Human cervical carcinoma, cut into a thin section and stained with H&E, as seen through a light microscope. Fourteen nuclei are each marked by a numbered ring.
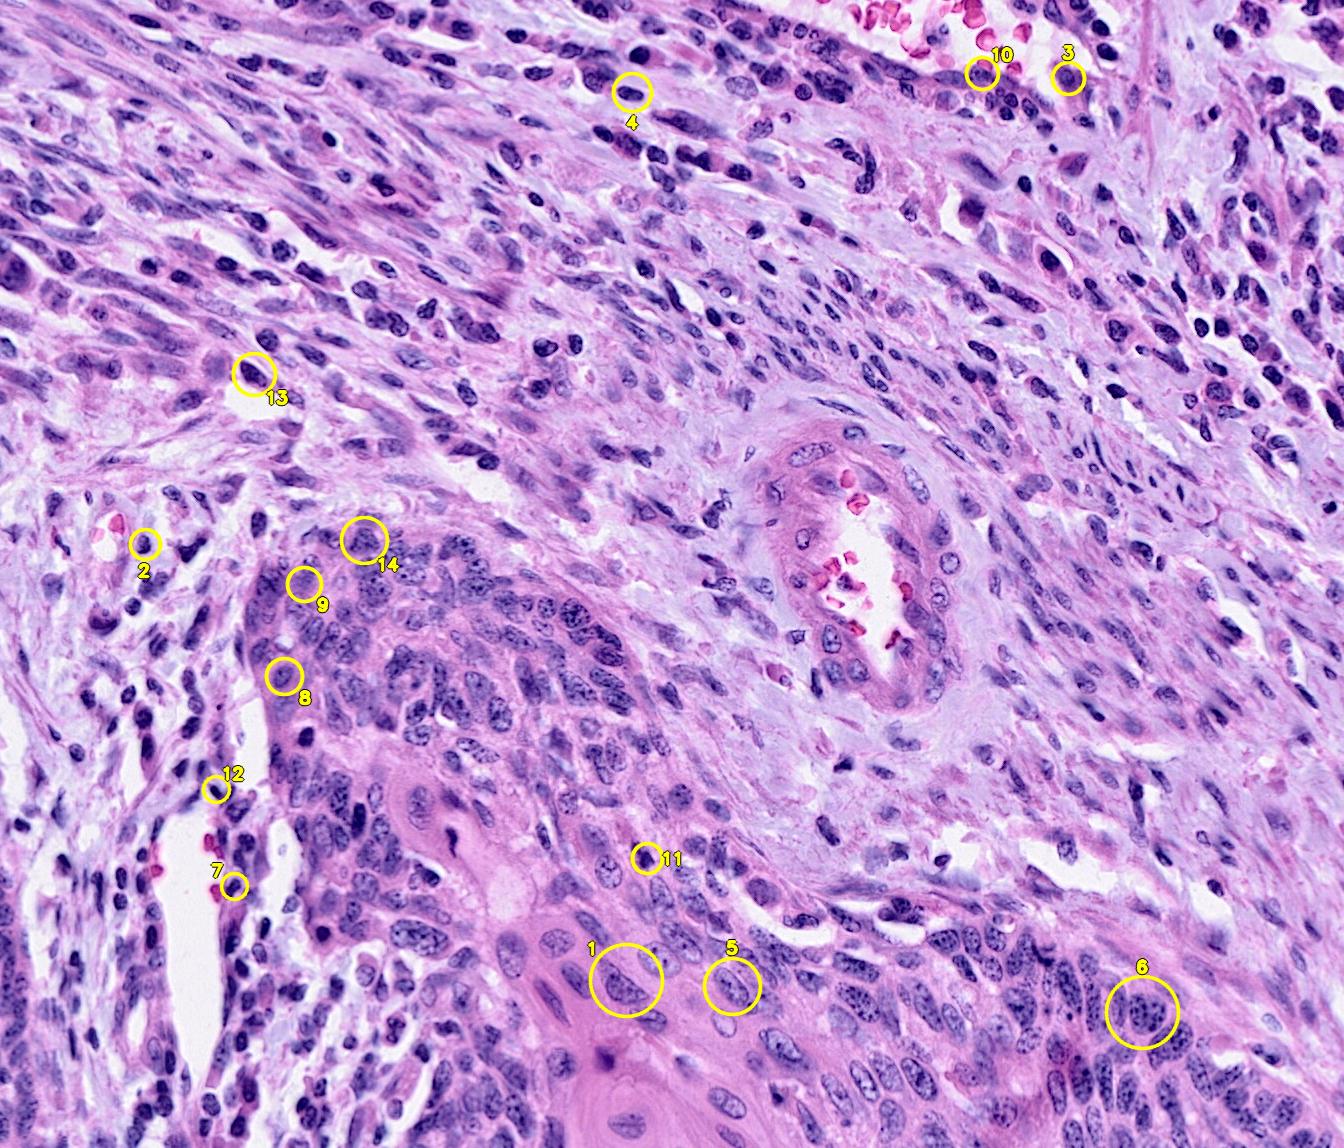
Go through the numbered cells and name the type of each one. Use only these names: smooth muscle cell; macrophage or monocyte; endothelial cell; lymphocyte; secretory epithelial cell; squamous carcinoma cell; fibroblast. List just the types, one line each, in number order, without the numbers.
squamous carcinoma cell
lymphocyte
endothelial cell
lymphocyte
squamous carcinoma cell
squamous carcinoma cell
lymphocyte
squamous carcinoma cell
squamous carcinoma cell
endothelial cell
squamous carcinoma cell
lymphocyte
lymphocyte
squamous carcinoma cell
